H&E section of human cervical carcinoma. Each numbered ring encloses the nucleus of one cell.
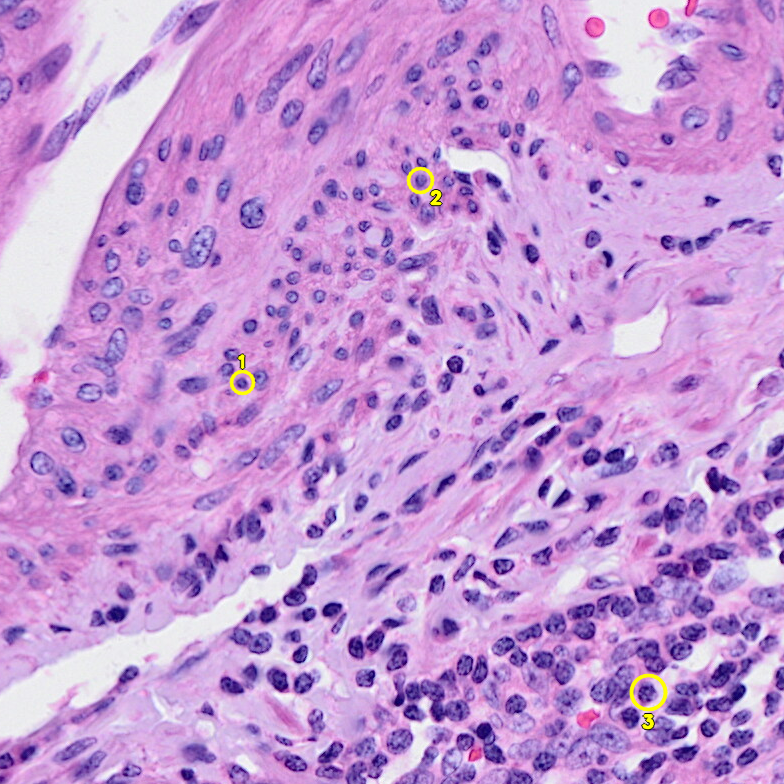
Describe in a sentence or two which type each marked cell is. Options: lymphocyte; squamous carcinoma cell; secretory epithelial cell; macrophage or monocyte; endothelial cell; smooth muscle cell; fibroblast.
Cells 1 and 2 are smooth muscle cells. Cell 3 is a lymphocyte.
